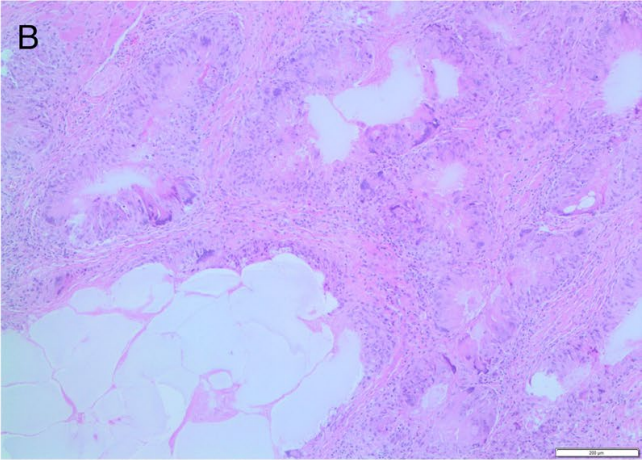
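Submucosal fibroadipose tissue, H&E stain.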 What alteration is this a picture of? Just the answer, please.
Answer: foreign-body giant cell granulomatous response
